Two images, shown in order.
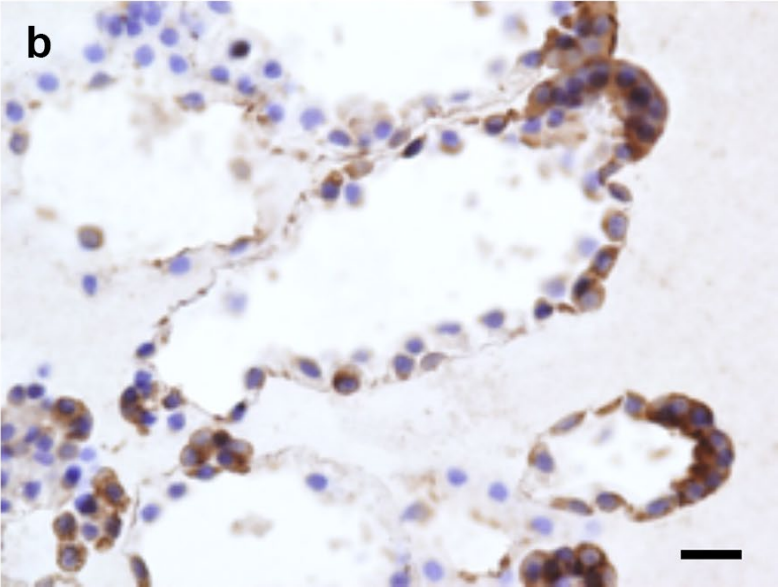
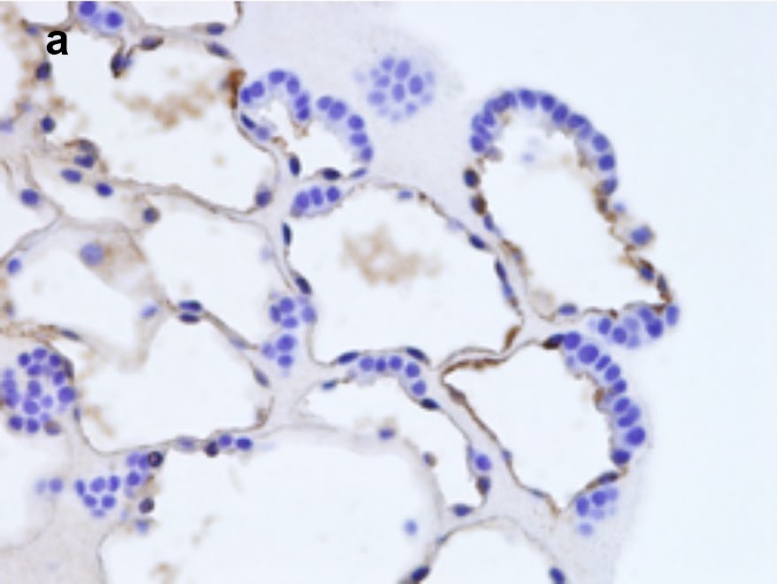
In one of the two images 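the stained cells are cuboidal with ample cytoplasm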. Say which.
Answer: the first image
